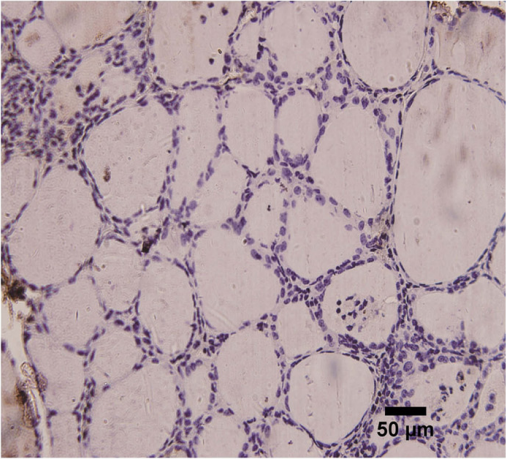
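This section of thyroid gland shows large round follicles filled with pale, faintly pink homogeneous colloid. Each follicle is lined by a single layer of low cuboidal follicular cells with round to oval blue nuclei and scarcely any brown colour.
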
